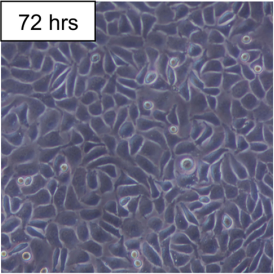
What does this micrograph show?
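The cells have grown to confluence and form a tightly packed sheet of flat, polygonal cells with clear, bright borders between neighbours. Only a few small, round, phase-bright cells lie scattered on the sheet, and there is no widespread rounding or detachment.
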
